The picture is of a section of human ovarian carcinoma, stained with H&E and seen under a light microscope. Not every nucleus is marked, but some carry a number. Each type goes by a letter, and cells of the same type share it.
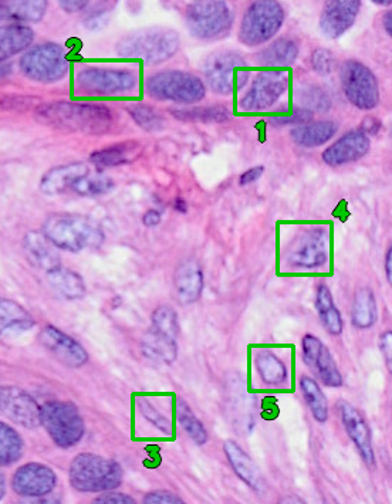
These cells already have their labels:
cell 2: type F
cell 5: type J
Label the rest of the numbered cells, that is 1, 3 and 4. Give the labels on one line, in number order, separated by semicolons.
type F; type J; type J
